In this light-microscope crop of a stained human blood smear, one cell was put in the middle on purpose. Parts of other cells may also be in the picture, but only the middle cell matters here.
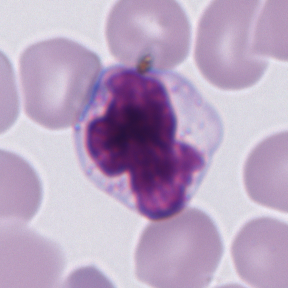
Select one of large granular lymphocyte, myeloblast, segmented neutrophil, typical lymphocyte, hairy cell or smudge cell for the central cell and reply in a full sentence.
Among the cells in view, the one in the middle is a large granular lymphocyte.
